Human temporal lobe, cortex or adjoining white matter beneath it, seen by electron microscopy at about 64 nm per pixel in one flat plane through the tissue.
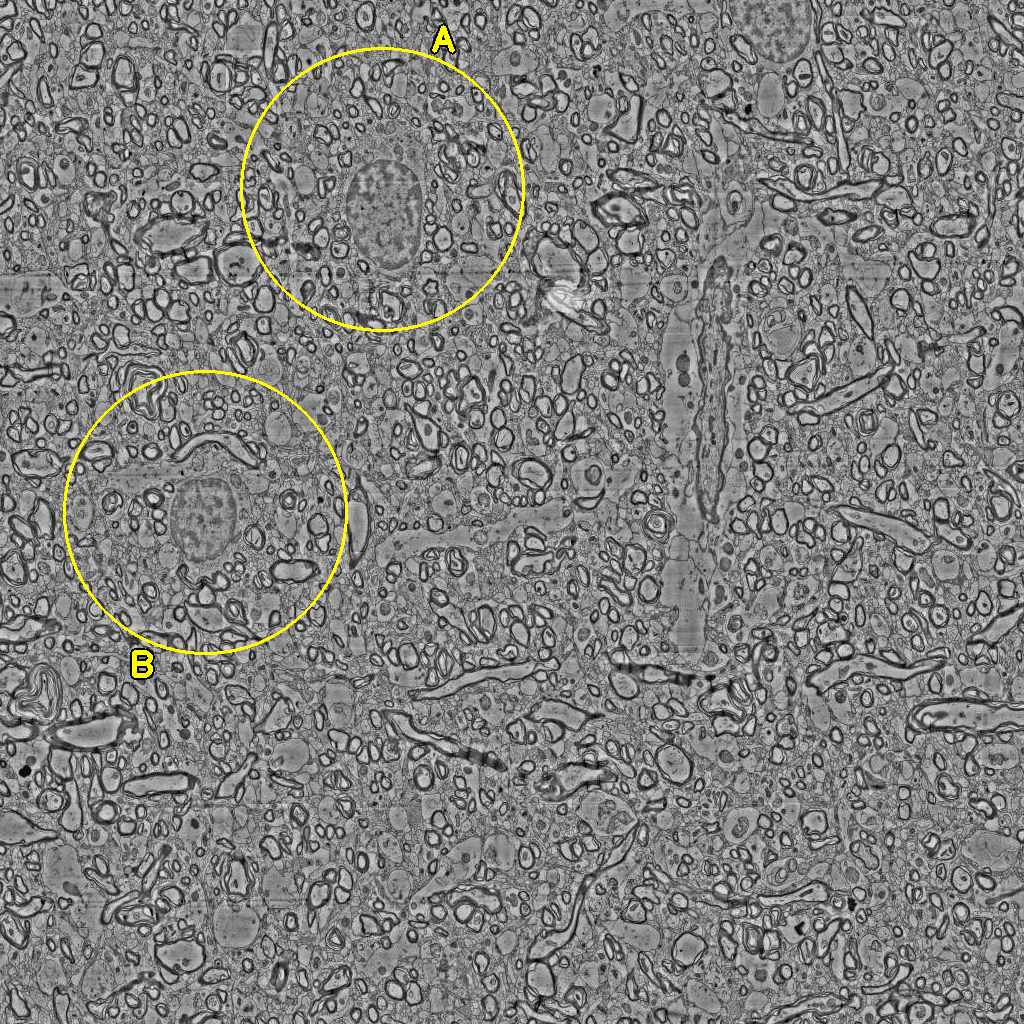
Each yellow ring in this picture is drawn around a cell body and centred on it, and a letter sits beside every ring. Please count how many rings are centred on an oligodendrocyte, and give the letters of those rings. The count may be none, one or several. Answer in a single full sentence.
The rings that are each centred on an oligodendrocyte total two and bear the letters A and B.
